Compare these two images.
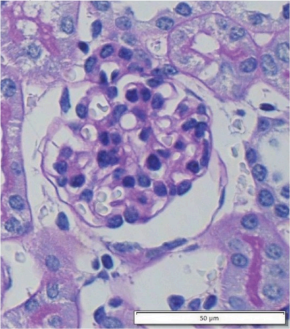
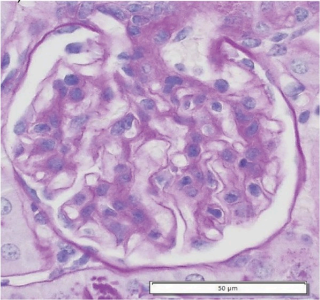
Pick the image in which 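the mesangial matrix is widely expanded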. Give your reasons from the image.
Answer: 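Second image: broad pink-magenta material fills the tuft between capillary loops. First image: a compact tuft of closely set dark nuclei with little pink material between them. On this evidence: the second image.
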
